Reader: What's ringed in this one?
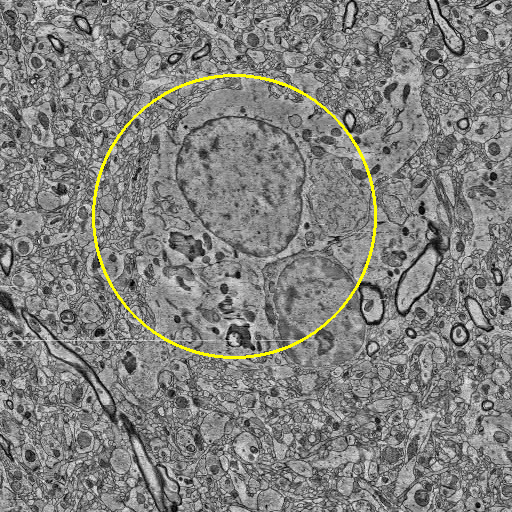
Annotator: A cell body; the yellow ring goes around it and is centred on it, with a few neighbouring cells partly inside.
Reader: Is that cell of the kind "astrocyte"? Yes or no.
yes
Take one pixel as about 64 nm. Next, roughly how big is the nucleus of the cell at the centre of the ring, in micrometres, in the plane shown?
Roughly 10 by 8 micrometres is the size of the nucleus in this plane.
